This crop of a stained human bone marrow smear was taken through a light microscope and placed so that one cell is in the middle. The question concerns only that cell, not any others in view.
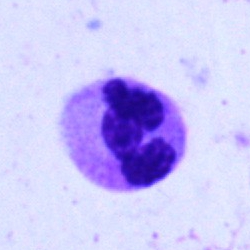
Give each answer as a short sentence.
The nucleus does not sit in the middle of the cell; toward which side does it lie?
Seen from the middle of the cell, the nucleus lies toward the right.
